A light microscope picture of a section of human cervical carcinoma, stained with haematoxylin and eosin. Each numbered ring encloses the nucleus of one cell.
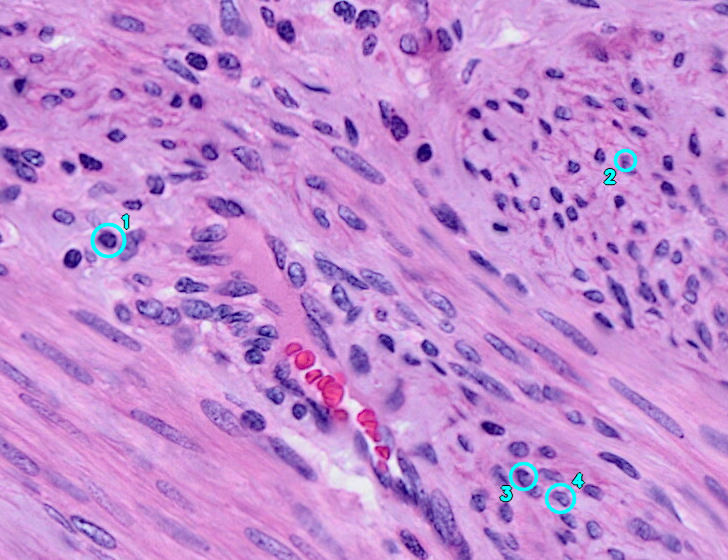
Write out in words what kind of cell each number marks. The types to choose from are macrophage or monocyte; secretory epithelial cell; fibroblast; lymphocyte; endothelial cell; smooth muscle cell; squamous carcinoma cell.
Cell 1 is a lymphocyte, cell 2 is a smooth muscle cell, cell 3 is a smooth muscle cell and cell 4 is a smooth muscle cell.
